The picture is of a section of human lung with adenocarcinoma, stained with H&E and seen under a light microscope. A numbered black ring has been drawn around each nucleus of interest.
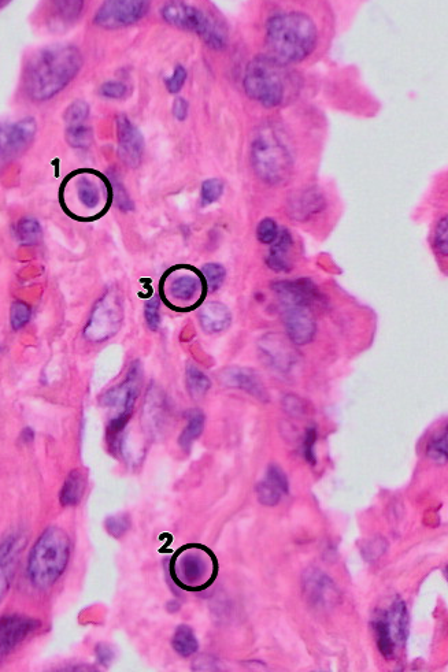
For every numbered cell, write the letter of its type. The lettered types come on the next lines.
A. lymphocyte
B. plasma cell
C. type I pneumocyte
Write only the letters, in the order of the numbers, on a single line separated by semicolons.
A; B; A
